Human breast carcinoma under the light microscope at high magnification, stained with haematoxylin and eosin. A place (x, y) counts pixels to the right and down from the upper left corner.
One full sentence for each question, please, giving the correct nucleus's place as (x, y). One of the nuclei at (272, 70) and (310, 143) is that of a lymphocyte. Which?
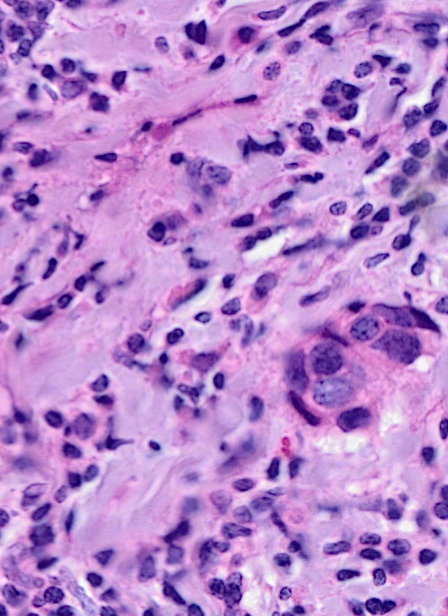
Among the two, the nucleus at (310, 143) is the nucleus of a lymphocyte.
